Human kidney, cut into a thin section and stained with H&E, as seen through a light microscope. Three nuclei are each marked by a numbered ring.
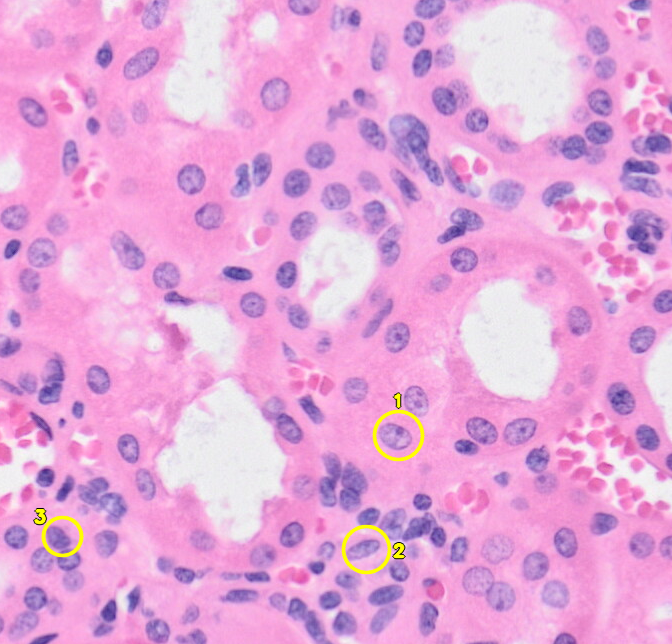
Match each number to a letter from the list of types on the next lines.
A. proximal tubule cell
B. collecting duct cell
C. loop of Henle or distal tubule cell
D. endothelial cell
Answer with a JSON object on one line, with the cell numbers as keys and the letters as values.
{"1": "A", "2": "B", "3": "B"}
